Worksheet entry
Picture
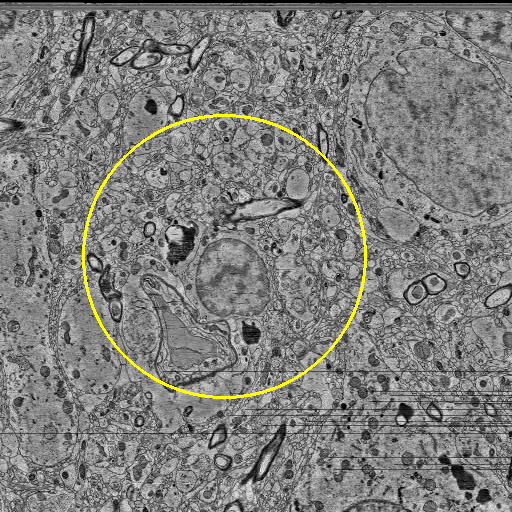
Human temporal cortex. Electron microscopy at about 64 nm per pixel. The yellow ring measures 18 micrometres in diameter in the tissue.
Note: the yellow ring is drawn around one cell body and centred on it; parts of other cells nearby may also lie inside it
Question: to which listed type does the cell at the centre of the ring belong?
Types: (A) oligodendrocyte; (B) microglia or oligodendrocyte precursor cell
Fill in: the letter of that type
A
